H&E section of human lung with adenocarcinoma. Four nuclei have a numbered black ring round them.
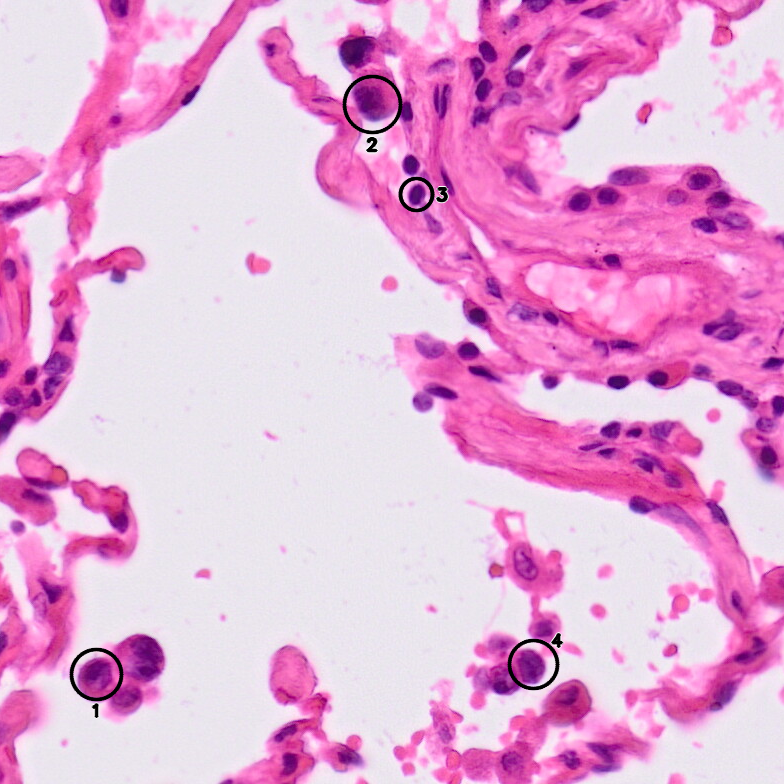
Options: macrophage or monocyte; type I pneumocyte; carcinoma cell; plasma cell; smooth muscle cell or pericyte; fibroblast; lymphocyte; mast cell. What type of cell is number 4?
carcinoma cell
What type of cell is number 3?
lymphocyte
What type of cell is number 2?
carcinoma cell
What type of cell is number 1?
carcinoma cell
